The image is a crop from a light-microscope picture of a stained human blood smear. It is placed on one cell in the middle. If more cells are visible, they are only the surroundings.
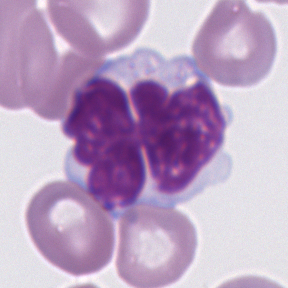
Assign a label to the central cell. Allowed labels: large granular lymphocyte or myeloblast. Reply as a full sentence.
The cell at the middle of the frame should be recorded as a large granular lymphocyte.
